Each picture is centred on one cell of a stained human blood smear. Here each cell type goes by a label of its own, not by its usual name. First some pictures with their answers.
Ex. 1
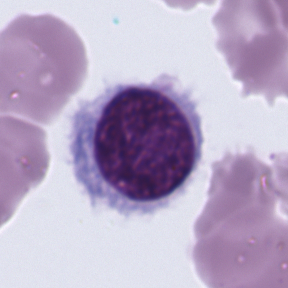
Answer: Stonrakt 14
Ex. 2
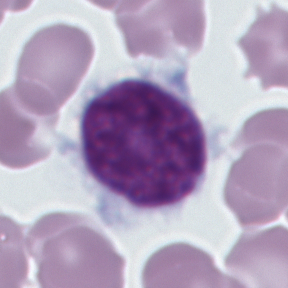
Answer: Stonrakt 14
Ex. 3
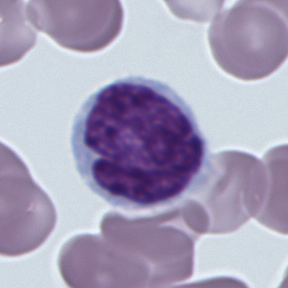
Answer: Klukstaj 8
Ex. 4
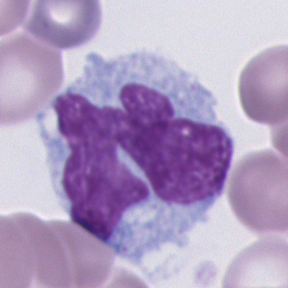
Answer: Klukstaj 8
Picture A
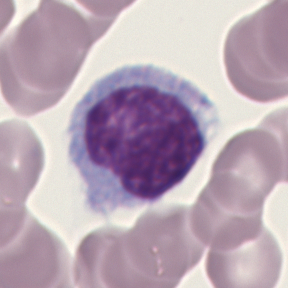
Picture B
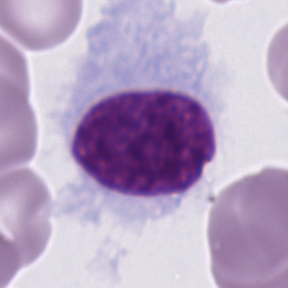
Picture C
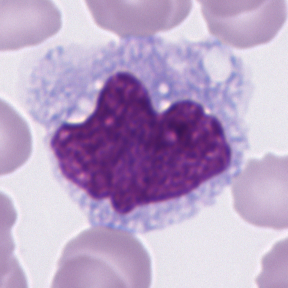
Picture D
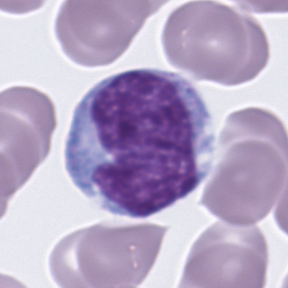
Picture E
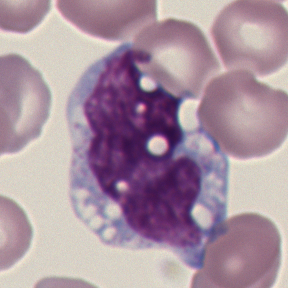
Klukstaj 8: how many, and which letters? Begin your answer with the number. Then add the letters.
Count: 4 (A, C, D, E)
